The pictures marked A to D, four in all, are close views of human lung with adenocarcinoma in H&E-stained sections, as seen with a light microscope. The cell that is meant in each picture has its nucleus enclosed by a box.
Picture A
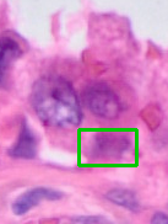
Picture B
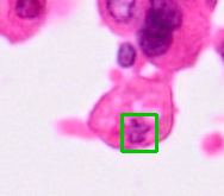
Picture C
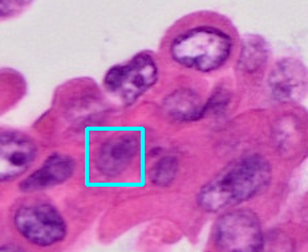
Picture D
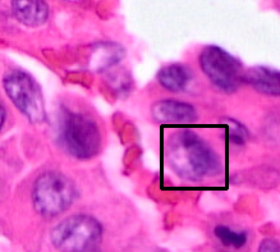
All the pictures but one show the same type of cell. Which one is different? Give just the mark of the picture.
B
